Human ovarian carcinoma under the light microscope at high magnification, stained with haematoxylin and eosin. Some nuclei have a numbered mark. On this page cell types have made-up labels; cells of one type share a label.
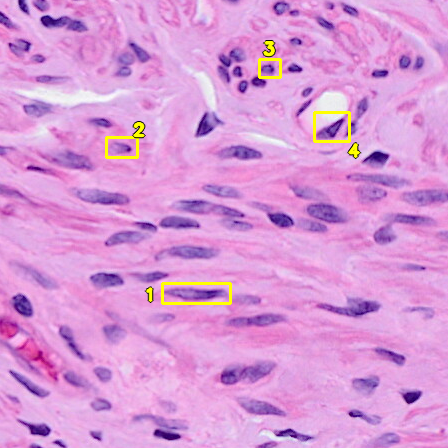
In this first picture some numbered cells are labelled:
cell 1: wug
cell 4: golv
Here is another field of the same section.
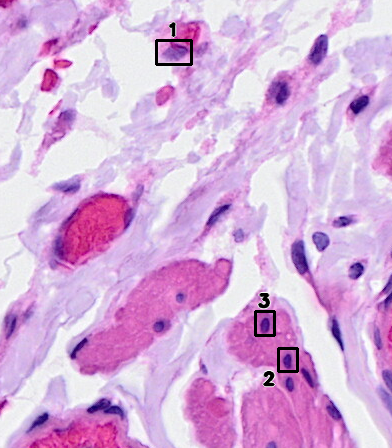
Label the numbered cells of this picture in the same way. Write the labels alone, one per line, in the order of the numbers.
golv
wug
wug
